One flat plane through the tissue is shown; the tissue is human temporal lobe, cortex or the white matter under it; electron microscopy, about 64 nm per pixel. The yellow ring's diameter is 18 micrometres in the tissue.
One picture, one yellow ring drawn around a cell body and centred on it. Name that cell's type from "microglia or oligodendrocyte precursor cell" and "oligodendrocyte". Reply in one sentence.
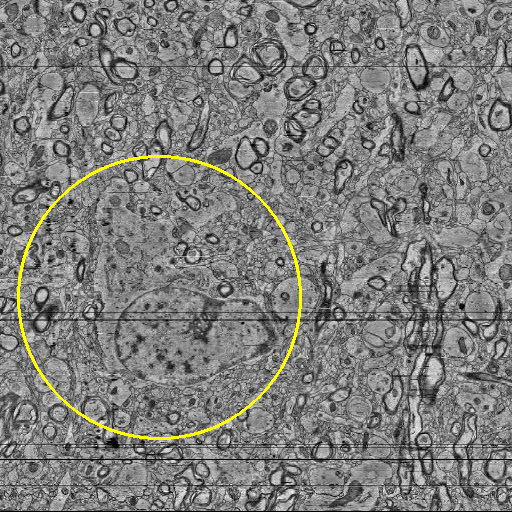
Centred in the ring is a microglial cell or oligodendrocyte precursor cell.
